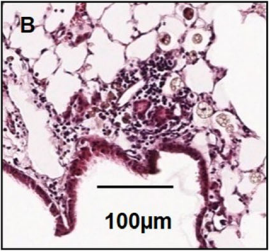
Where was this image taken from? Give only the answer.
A: Bronchial-associated.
